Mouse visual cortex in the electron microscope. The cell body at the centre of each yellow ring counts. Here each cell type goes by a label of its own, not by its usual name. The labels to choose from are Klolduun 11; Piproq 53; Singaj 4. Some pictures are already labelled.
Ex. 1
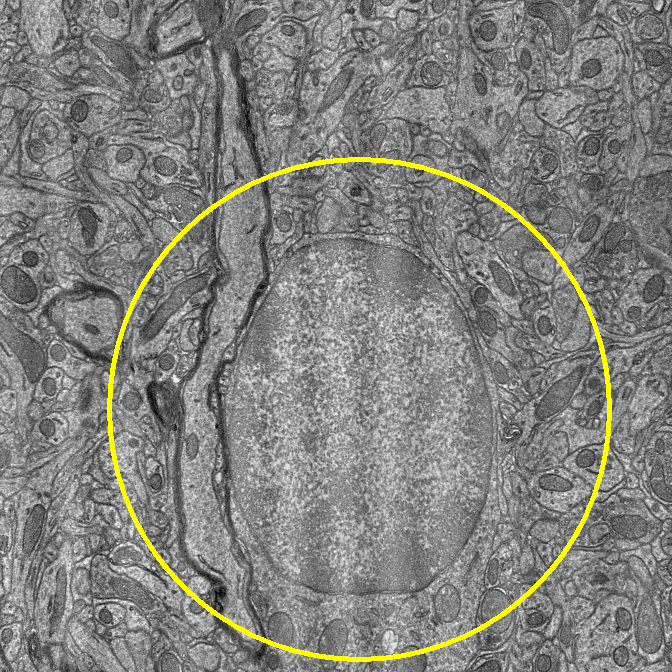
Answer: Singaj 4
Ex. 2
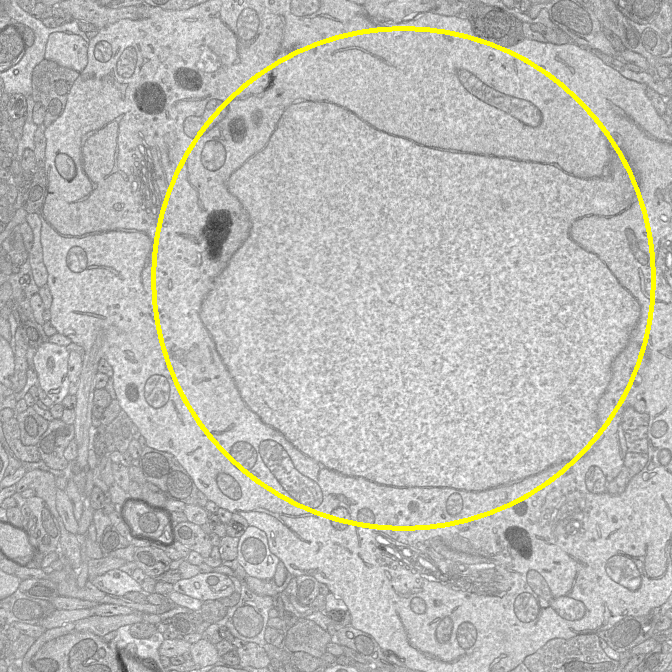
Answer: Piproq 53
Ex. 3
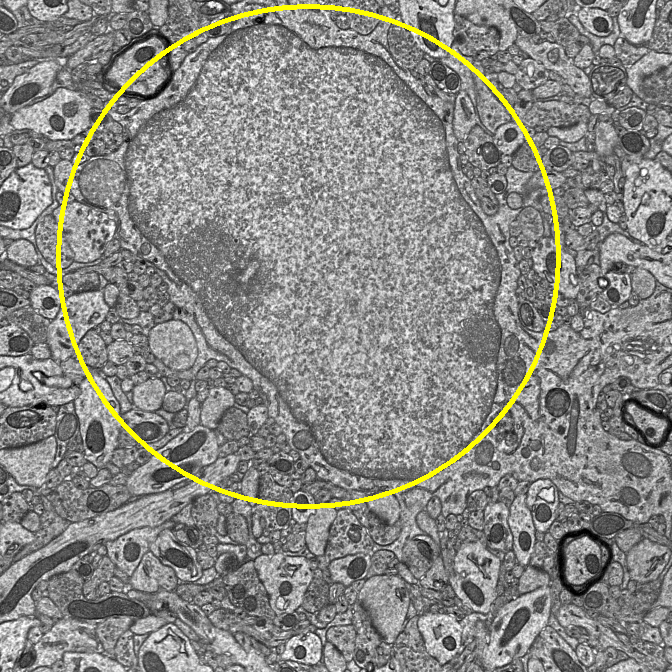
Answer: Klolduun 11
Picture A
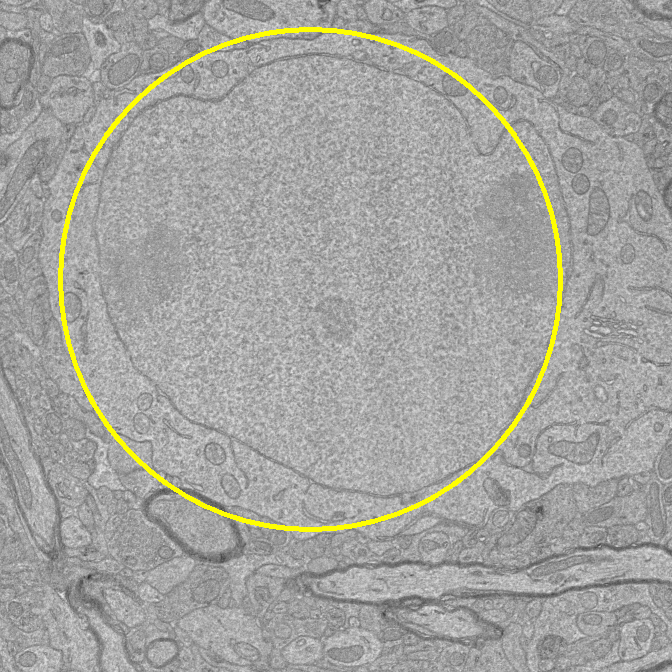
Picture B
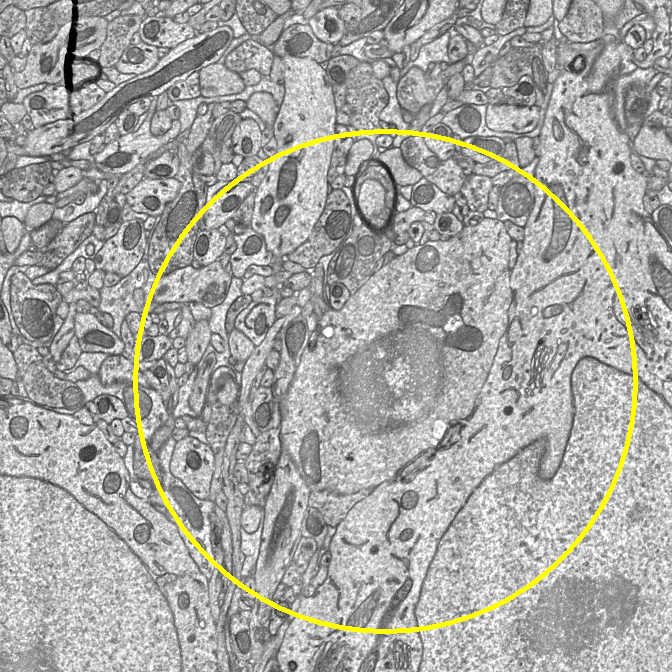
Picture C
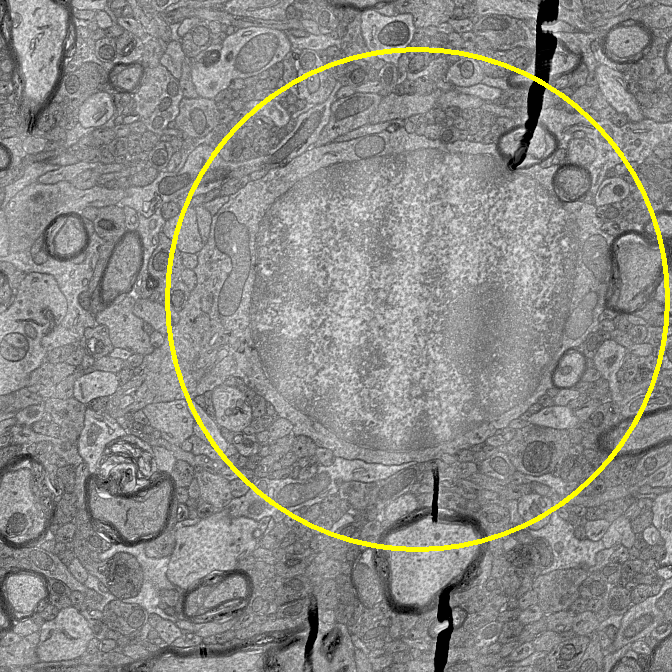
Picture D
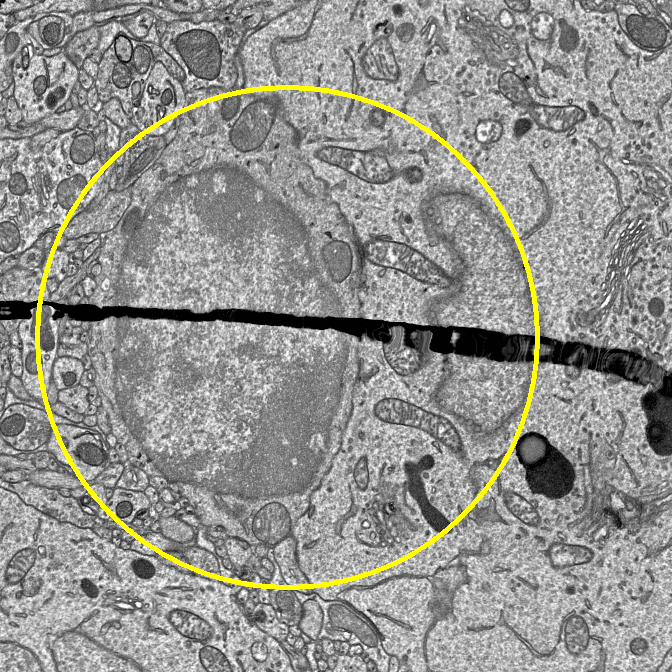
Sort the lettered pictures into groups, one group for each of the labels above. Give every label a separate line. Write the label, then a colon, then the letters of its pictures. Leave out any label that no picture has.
Piproq 53: A
Singaj 4: B, C, D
